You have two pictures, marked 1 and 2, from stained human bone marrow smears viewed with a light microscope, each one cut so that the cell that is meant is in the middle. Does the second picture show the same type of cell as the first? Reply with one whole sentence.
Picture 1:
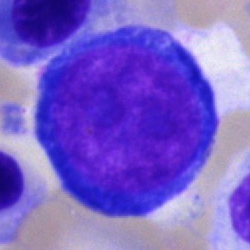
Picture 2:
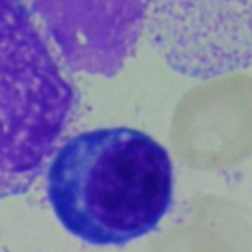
No. Picture 1 shows a proerythroblast, but picture 2 shows a plasma cell.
